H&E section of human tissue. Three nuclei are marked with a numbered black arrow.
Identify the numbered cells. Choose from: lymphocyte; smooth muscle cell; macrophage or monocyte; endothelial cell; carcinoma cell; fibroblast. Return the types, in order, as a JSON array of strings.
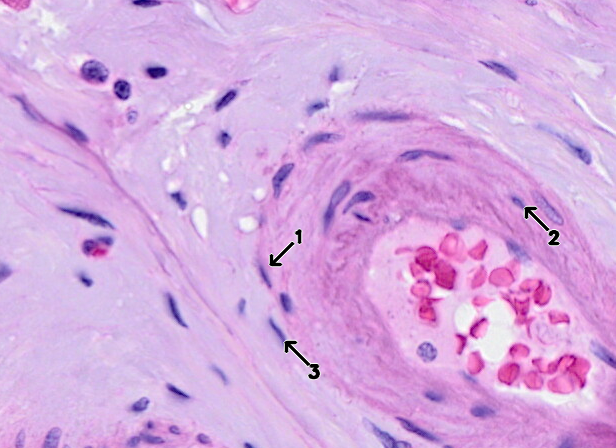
["smooth muscle cell", "smooth muscle cell", "fibroblast"]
